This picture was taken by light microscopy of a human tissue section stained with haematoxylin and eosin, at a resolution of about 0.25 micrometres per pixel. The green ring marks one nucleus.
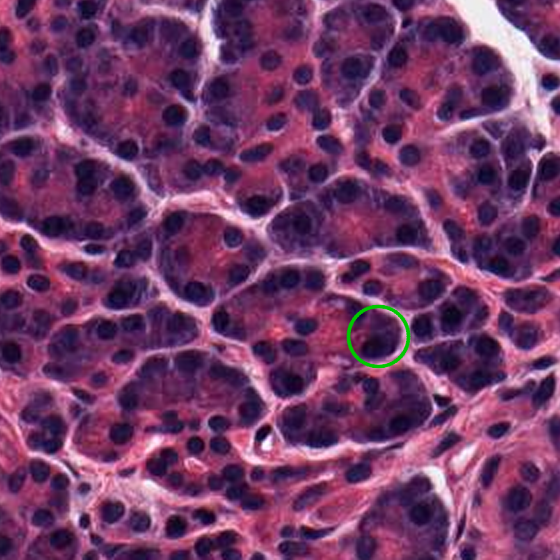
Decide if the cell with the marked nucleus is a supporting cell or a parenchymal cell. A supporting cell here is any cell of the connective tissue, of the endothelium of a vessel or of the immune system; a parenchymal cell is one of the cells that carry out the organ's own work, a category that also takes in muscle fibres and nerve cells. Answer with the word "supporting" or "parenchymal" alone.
parenchymal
